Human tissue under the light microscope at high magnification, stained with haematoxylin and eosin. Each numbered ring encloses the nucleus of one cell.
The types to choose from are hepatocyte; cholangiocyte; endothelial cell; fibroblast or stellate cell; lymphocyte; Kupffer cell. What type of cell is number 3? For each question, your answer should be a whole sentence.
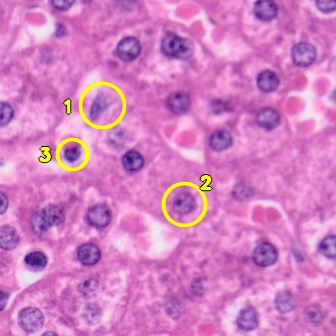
The mark numbered 3 indicates the nucleus of a lymphocyte.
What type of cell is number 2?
The cell numbered 2 has been identified as a hepatocyte.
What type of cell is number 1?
The cell pointed out by number 1 is a Kupffer cell.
